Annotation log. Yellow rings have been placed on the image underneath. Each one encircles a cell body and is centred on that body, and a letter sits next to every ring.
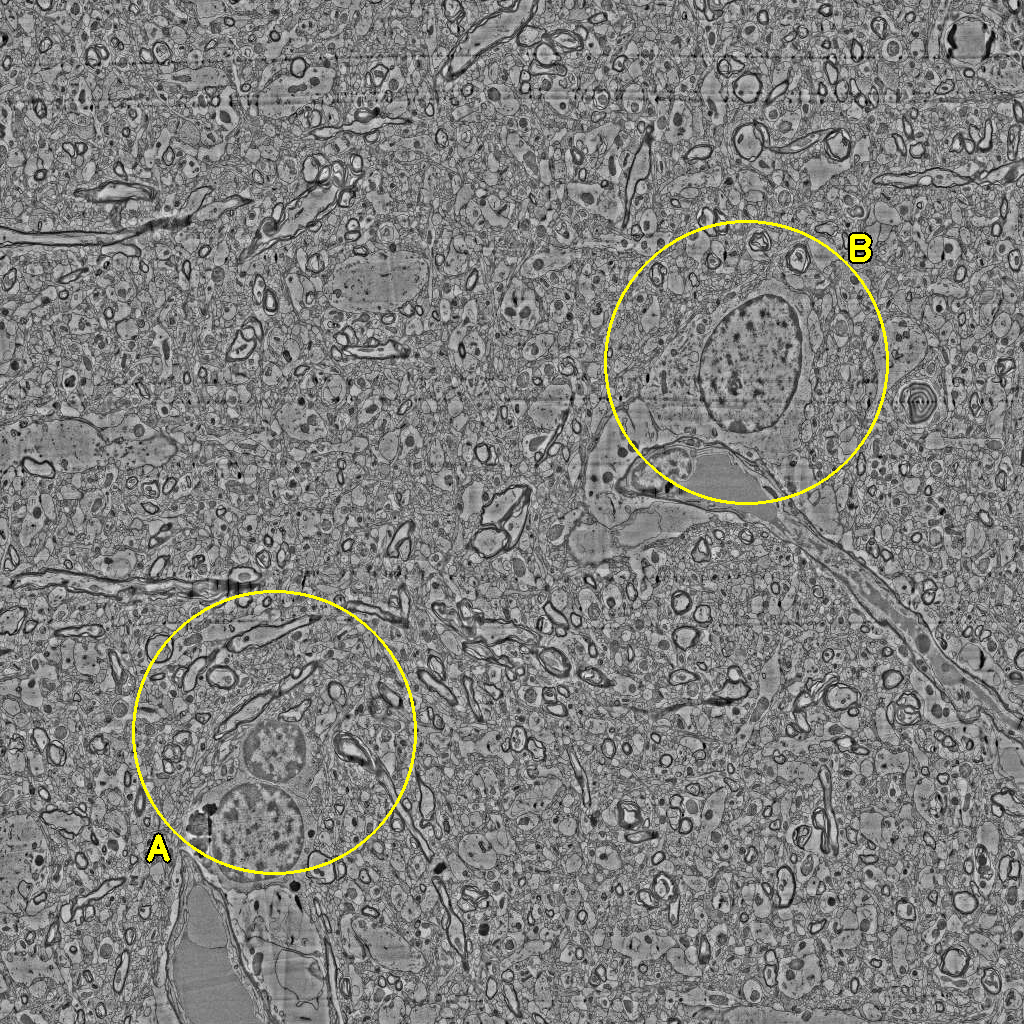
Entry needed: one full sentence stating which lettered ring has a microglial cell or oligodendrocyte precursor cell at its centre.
The cell asked for sits at the centre of Ring B in the picture.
